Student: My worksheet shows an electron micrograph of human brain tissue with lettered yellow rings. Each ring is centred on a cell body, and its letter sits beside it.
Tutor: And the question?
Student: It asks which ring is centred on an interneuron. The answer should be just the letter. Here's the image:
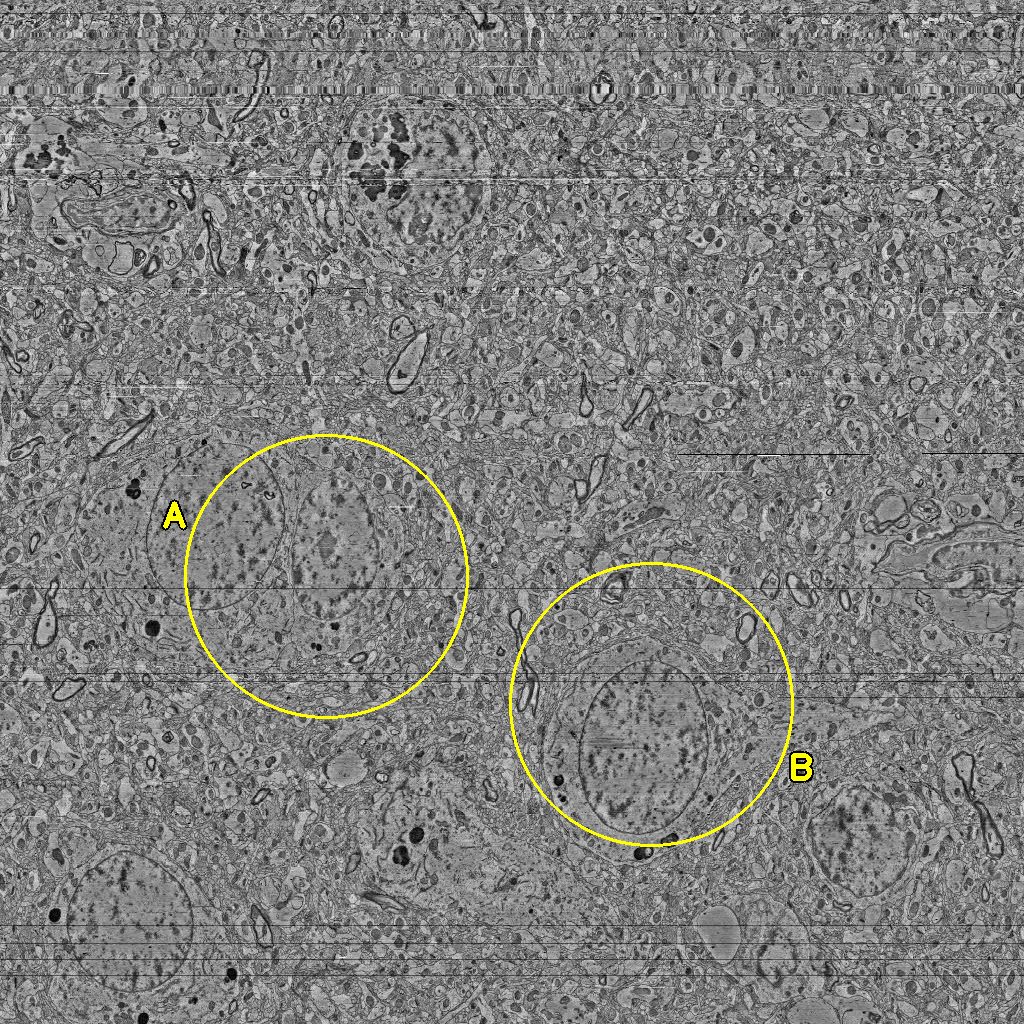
A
